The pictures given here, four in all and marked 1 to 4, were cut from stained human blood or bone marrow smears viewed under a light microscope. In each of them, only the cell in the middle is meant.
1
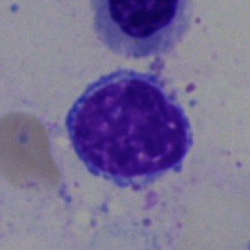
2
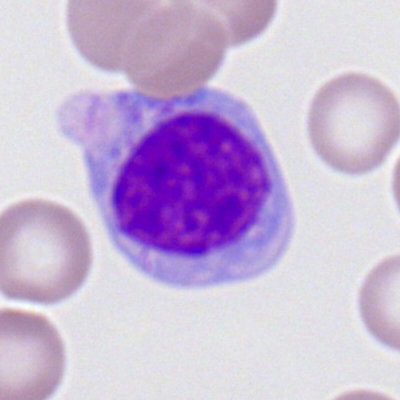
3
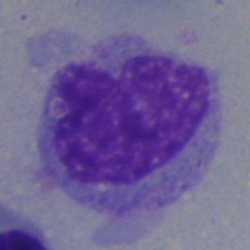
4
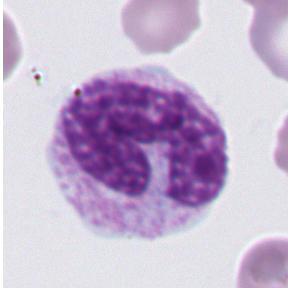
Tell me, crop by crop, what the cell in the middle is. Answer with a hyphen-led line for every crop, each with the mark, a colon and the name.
- 1: lymphocyte
- 2: monocyte
- 3: monocyte
- 4: band neutrophil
